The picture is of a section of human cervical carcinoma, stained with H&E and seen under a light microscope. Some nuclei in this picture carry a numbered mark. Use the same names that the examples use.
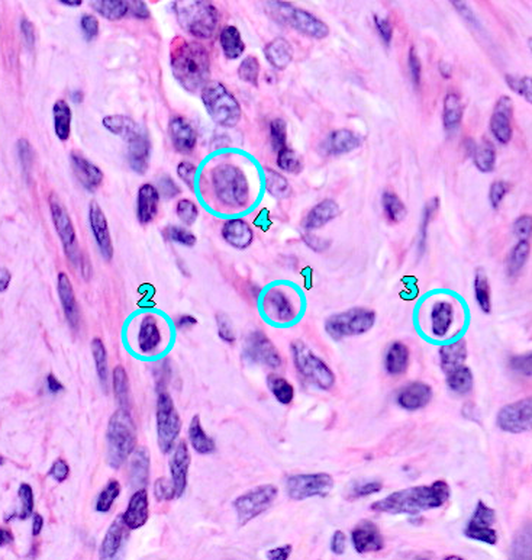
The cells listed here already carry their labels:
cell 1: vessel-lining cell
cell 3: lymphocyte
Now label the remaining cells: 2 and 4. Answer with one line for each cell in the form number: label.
2: lymphocyte
4: vessel-lining cell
